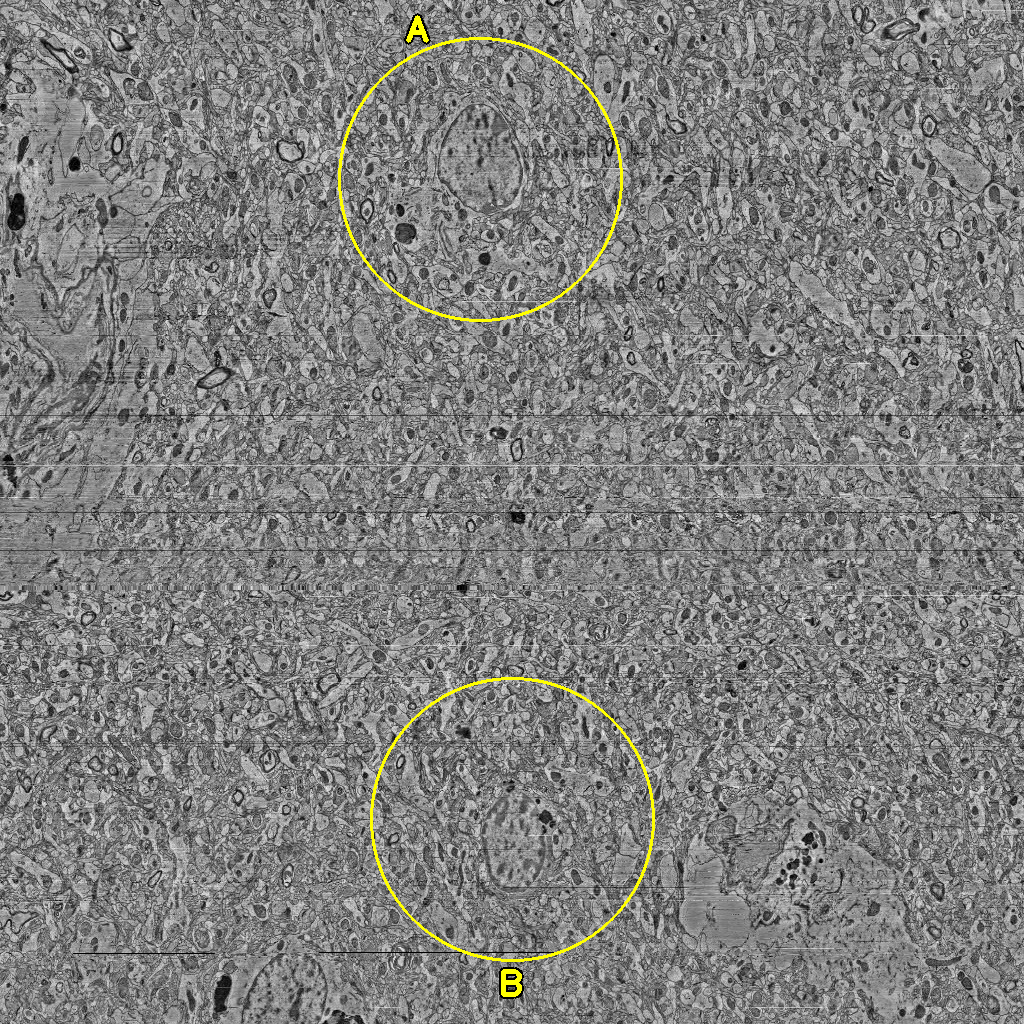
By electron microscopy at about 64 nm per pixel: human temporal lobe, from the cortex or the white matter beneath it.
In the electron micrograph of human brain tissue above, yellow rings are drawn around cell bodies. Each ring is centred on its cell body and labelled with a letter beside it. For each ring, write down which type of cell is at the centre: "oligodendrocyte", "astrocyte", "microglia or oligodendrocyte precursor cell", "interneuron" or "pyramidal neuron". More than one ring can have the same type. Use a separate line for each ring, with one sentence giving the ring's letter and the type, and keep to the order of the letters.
At the centre of ring A there is a microglial cell or oligodendrocyte precursor cell.
At the centre of ring B there is an oligodendrocyte.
